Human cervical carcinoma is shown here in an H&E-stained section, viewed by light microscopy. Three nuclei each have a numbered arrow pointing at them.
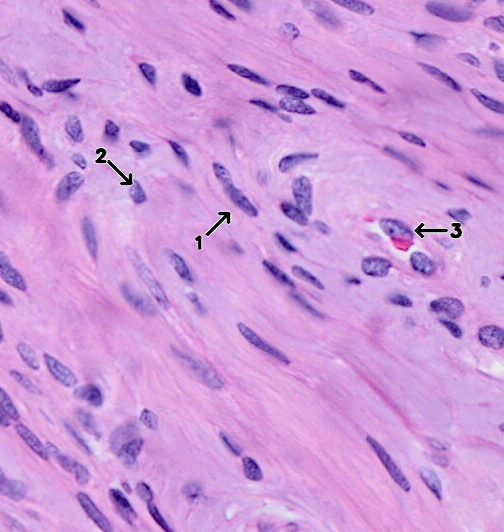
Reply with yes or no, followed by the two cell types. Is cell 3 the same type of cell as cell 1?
No, in contrast to cell 3, which is an endothelial cell, cell 1 is a fibroblast.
